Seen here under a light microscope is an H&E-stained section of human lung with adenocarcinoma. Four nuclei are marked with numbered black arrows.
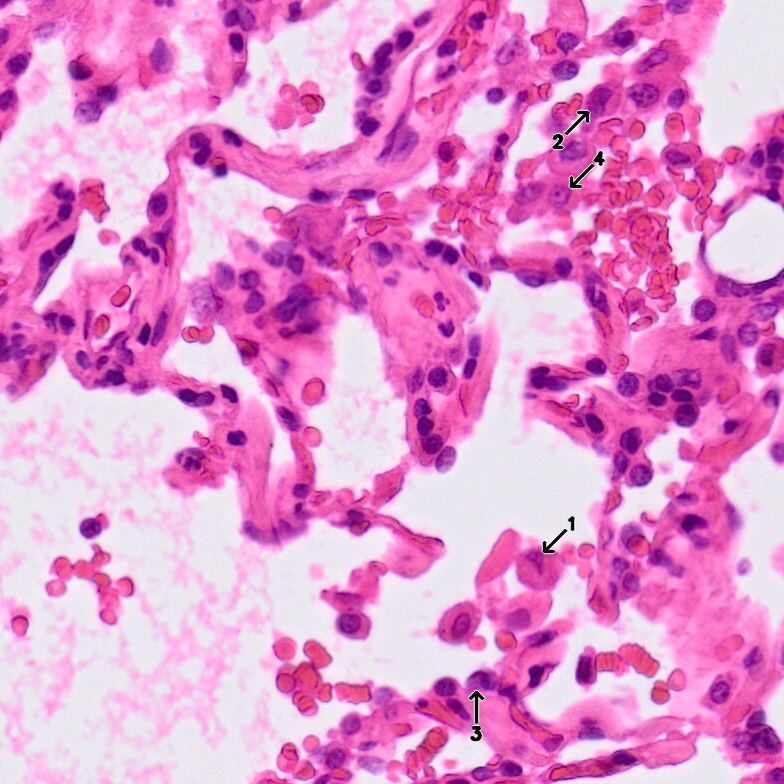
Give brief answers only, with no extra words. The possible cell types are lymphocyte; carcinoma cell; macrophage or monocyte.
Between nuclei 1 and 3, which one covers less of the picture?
1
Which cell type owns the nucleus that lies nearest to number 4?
macrophage or monocyte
